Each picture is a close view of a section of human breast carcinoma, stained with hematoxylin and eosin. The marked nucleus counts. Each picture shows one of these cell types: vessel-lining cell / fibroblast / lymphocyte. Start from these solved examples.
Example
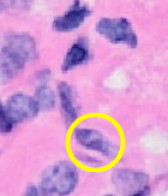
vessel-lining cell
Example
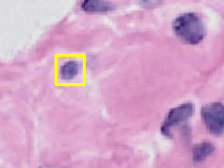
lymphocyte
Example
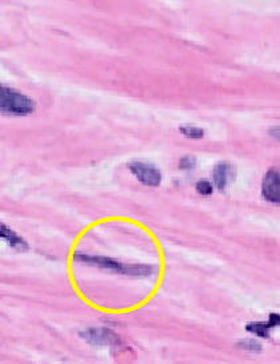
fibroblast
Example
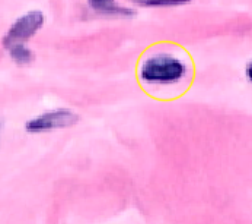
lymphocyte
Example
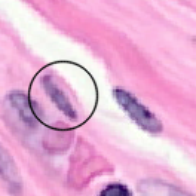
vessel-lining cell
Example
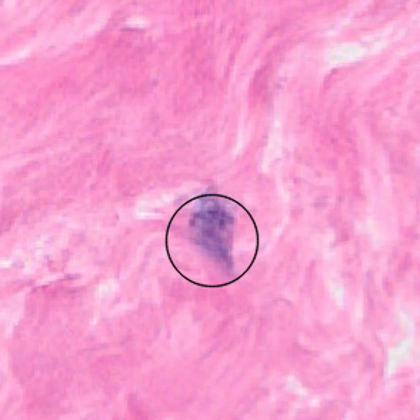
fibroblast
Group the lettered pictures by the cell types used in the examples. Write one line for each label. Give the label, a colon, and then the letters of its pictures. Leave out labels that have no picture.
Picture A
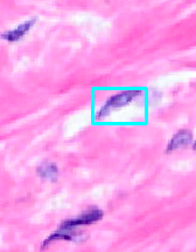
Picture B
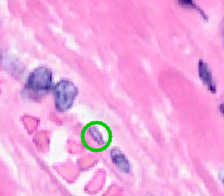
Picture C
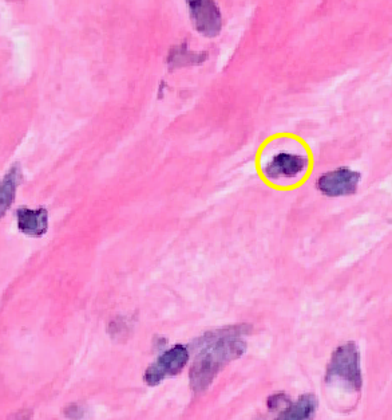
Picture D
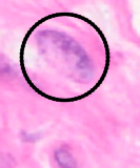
vessel-lining cell: B
fibroblast: A, D
lymphocyte: C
